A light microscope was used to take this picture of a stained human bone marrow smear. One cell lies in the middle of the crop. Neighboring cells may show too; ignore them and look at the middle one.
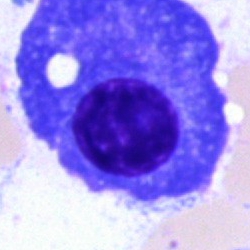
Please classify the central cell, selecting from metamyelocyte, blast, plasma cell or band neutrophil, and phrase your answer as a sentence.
Classified as a plasma cell is the cell in the middle of this crop.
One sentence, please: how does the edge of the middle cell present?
The cell membrane follows an uneven contour, either ragged or bearing projections.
